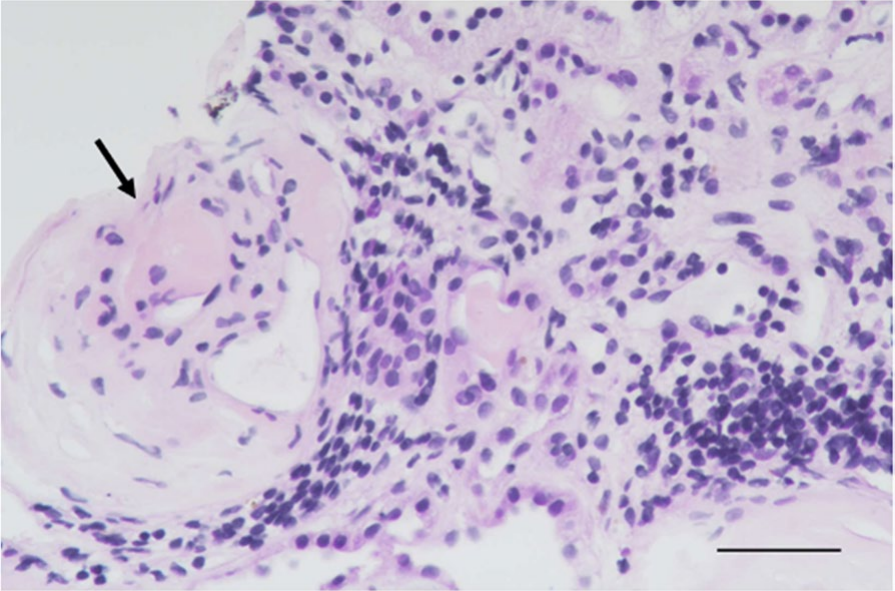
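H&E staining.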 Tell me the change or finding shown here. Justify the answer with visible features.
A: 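Cortical interstitial inflammation. Many small round dark-purple nuclei crowd the tissue between structures. A dense cluster of these small round nuclei lies at the lower right.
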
